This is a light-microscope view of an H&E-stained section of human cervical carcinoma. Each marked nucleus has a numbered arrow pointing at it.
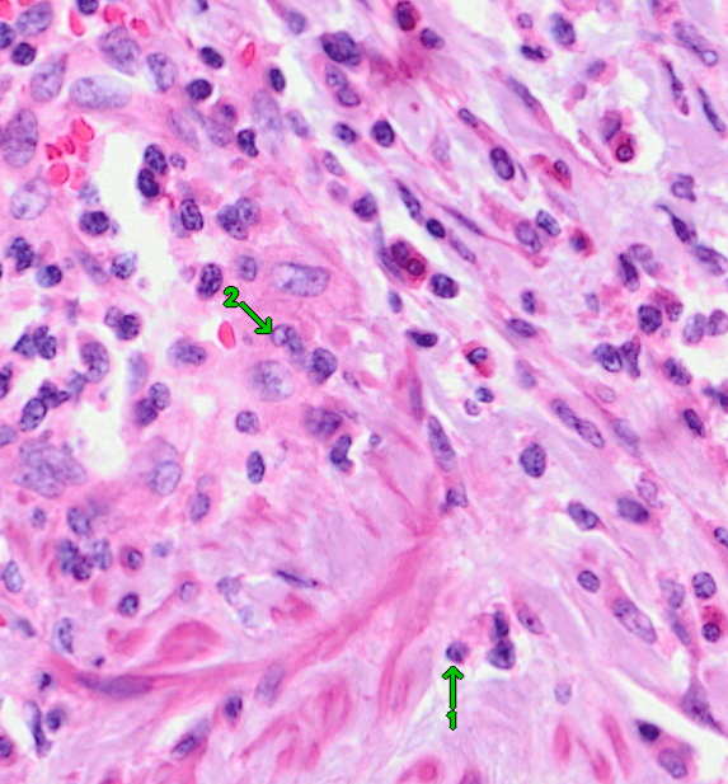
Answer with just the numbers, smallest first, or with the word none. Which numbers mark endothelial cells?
2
